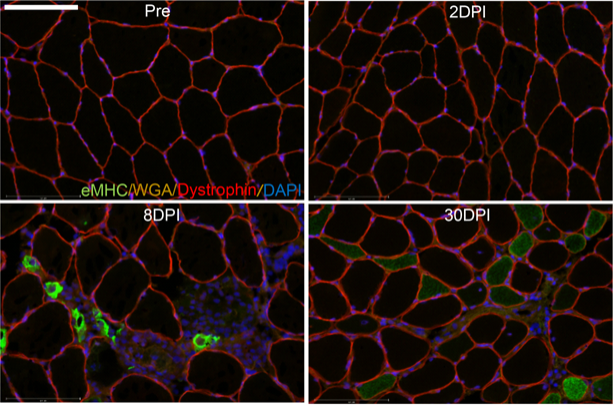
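These are cross-sections of skeletal muscle in which the fibers appear as closely packed polygons, each outlined by a thin red border. In the upper two images the fibers are fairly uniform in shape and size, and the small blue nuclei sit at the fiber edges. In the lower-left image, a patch of densely crowded blue nuclei lies between the fibers, where the regular fiber pattern is disrupted. Small round fibers with bright green cytoplasm lie at the margin of that patch. In the lower-right image, several fibers of various sizes are filled with green, scattered among unlabeled fibers, beside an area with more nuclei between the fibers.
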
